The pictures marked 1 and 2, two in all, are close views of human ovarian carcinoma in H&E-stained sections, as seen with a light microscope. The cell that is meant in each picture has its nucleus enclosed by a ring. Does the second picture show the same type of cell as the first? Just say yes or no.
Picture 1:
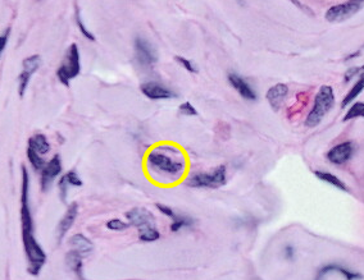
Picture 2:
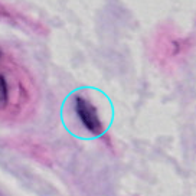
no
